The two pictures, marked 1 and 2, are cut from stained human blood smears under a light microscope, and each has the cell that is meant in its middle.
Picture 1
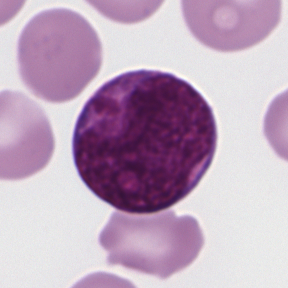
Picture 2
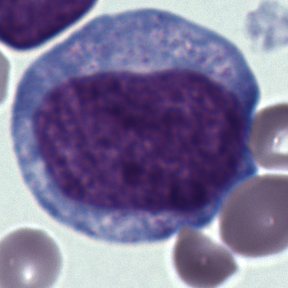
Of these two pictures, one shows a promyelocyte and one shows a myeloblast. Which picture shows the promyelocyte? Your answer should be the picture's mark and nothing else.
2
